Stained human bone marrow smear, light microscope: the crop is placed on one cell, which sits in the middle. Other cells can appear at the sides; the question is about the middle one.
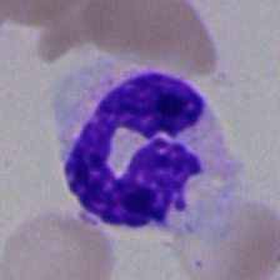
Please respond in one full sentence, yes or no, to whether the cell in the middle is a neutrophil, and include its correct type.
Yes, a neutrophil is what the central cell is.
